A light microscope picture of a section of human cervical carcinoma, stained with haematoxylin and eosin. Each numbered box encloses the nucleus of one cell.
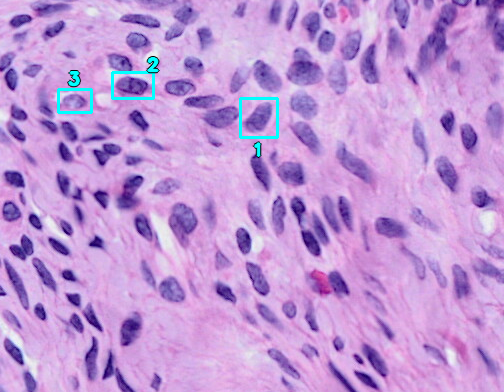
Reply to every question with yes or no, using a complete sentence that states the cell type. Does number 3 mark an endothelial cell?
Yes, looking at number 3, that cell is an endothelial cell.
